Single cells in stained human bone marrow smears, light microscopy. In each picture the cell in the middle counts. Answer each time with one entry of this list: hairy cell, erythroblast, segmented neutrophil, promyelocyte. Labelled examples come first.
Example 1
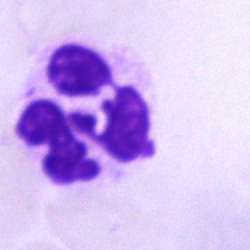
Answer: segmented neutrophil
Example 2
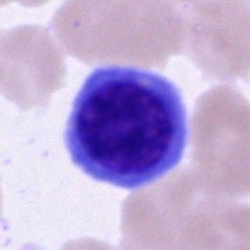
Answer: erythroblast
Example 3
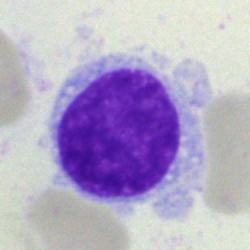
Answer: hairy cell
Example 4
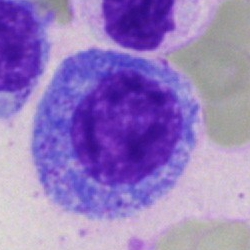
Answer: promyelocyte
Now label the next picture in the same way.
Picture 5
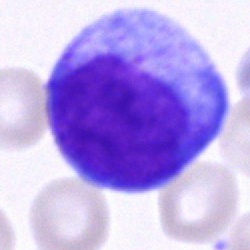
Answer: promyelocyte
